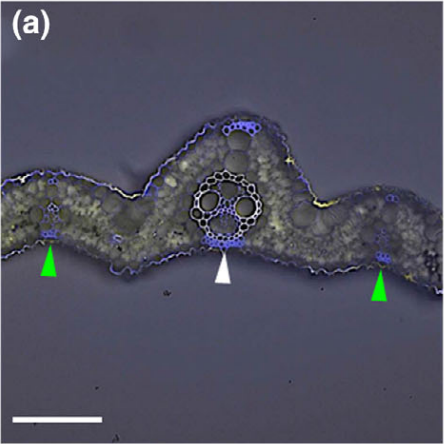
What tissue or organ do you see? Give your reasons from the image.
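A thin, flat cross section with a ridge over the midrib-like bundle. Dense mesophyll between the two epidermal surfaces. Vascular bundles spaced in one row across the section. On this evidence: leaf blade.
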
